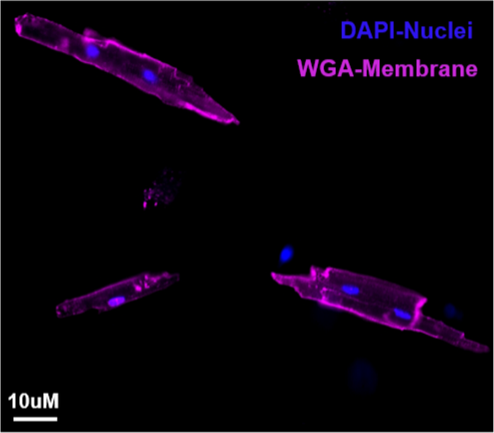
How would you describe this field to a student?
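Three isolated heart muscle cells, each an elongated rod outlined by a bright purple membrane border. Oval blue nuclei sit centrally within the rods, two in some of the cells. The background between the cells is dark, with only a few small specks.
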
